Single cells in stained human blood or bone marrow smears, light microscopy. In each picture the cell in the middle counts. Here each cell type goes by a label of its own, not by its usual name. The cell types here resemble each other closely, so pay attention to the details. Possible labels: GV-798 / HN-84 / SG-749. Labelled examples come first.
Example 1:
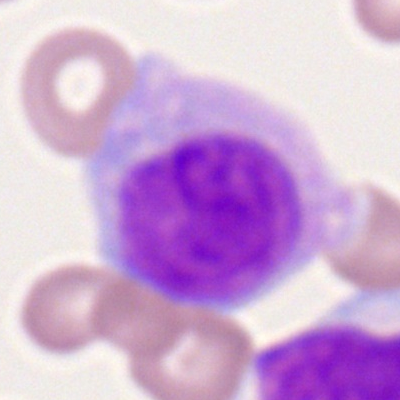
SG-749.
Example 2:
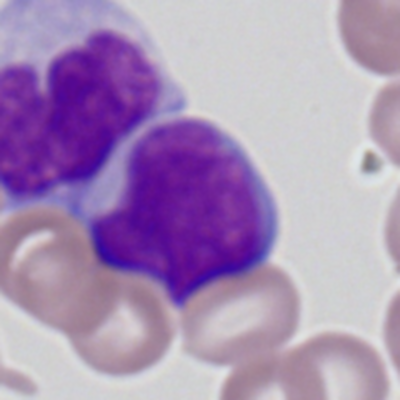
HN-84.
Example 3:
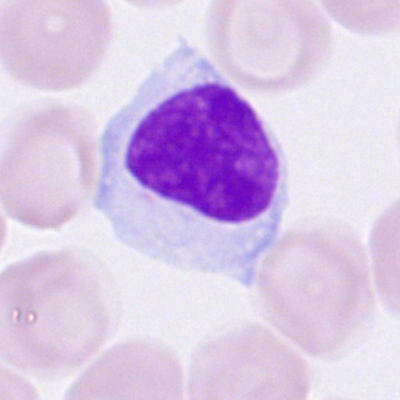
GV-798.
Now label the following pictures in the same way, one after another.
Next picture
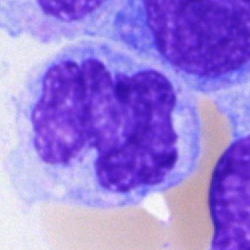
SG-749.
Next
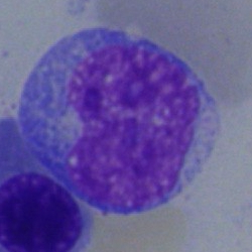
HN-84.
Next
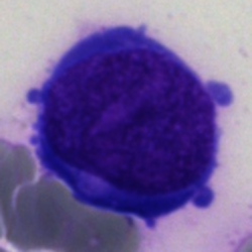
HN-84.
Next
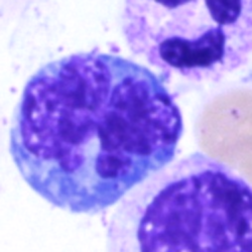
SG-749.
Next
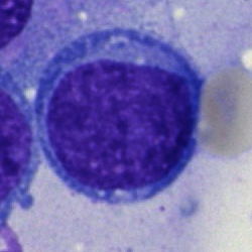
HN-84.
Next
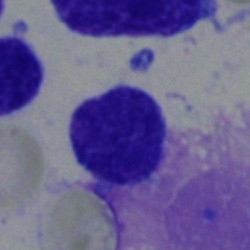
GV-798.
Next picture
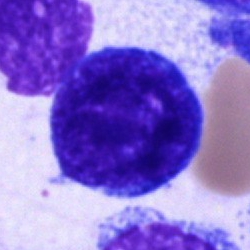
HN-84.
